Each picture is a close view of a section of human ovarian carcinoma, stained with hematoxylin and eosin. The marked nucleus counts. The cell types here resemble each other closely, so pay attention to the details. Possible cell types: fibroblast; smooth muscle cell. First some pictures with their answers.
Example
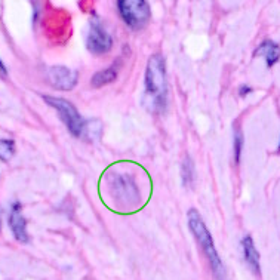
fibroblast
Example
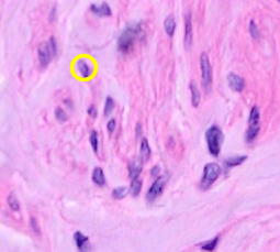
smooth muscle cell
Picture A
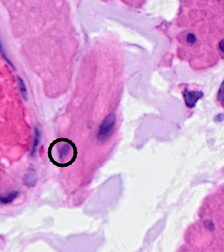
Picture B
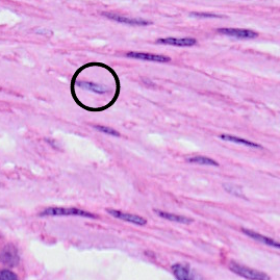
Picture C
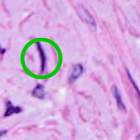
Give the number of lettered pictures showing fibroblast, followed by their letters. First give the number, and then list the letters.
Count: 2 (B, C)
